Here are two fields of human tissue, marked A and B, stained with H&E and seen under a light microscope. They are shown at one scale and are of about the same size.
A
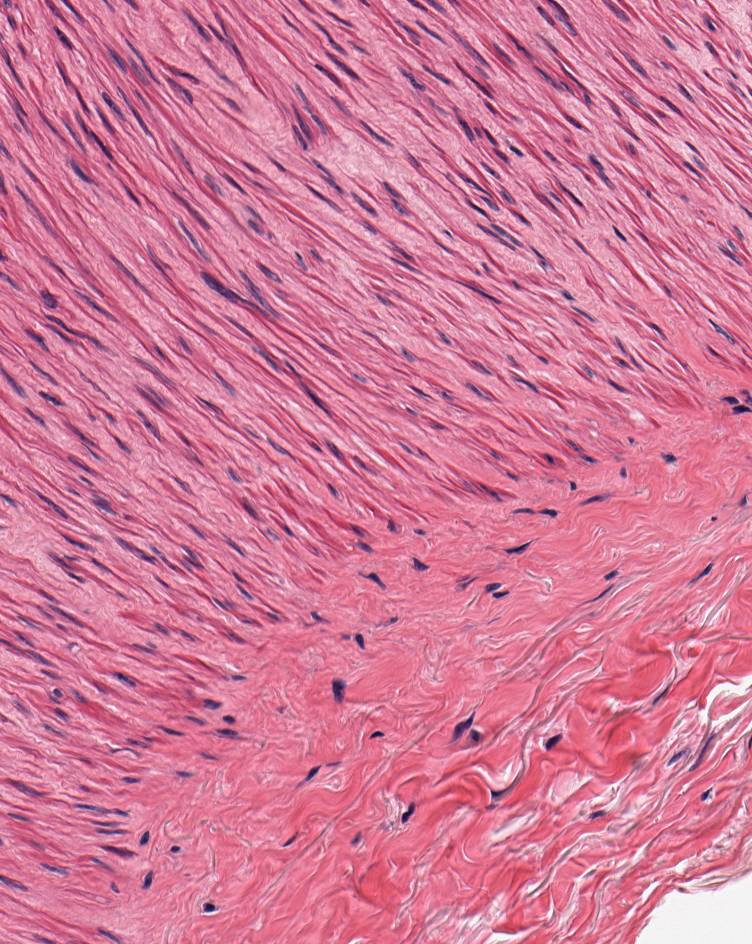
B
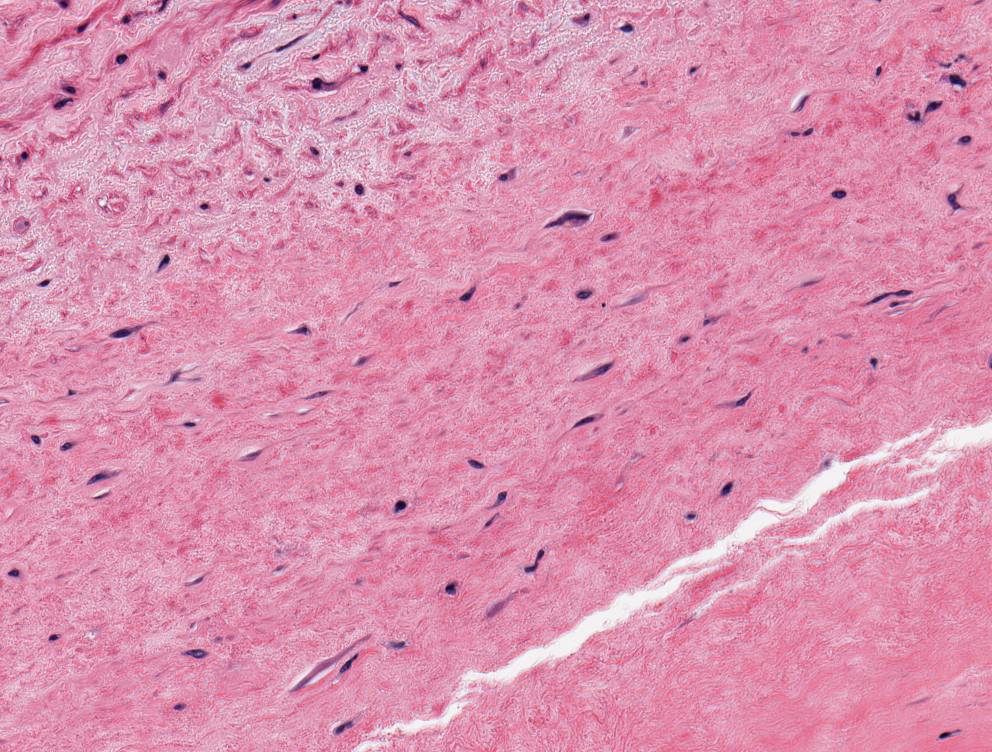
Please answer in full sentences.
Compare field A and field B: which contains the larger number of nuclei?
Field A holds more nuclei than field B.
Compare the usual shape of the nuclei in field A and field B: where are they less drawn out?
The nuclei are rounder in field B.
